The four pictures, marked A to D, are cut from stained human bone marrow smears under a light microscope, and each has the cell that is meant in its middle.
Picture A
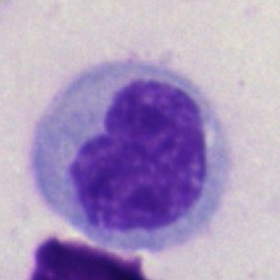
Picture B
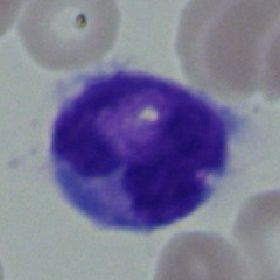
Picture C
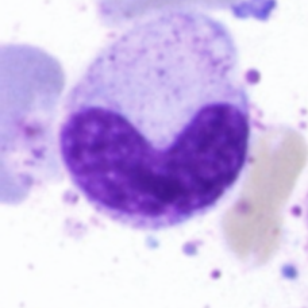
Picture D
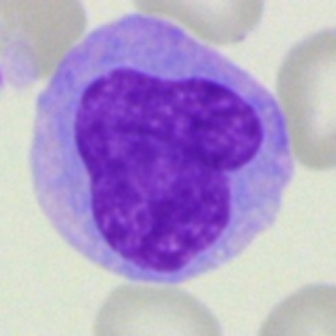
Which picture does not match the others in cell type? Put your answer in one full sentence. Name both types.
Picture C is the odd one out: it shows a band neutrophil, while the others show monocytes.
